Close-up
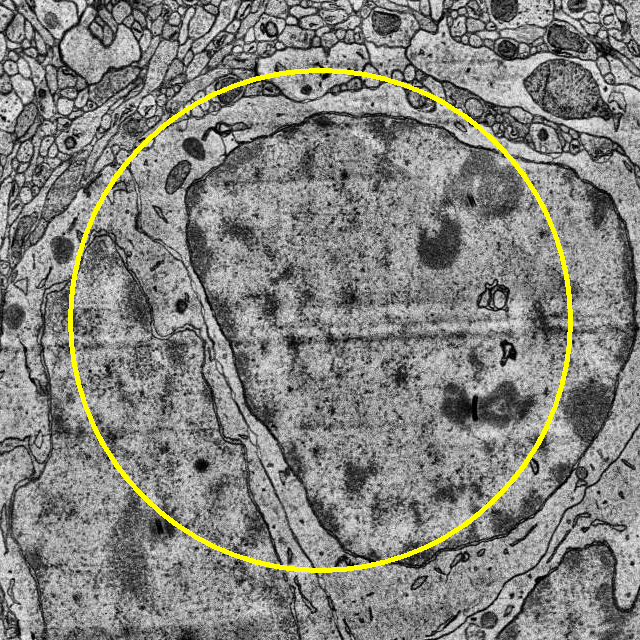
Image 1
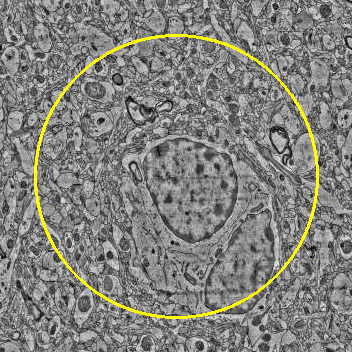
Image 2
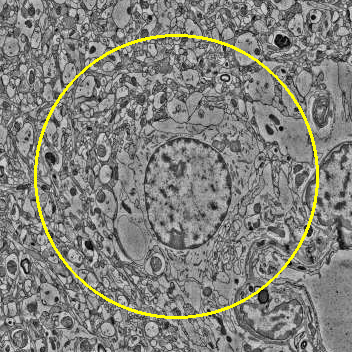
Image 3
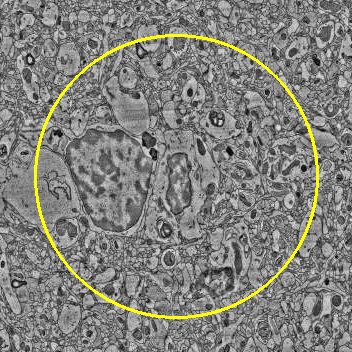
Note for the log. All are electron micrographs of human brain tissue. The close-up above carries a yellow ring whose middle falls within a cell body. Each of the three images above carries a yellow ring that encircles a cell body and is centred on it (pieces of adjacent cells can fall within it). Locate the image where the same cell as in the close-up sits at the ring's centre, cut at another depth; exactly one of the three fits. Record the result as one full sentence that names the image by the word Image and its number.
The cell within the yellow ring of Image 1 is the one in the close-up.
